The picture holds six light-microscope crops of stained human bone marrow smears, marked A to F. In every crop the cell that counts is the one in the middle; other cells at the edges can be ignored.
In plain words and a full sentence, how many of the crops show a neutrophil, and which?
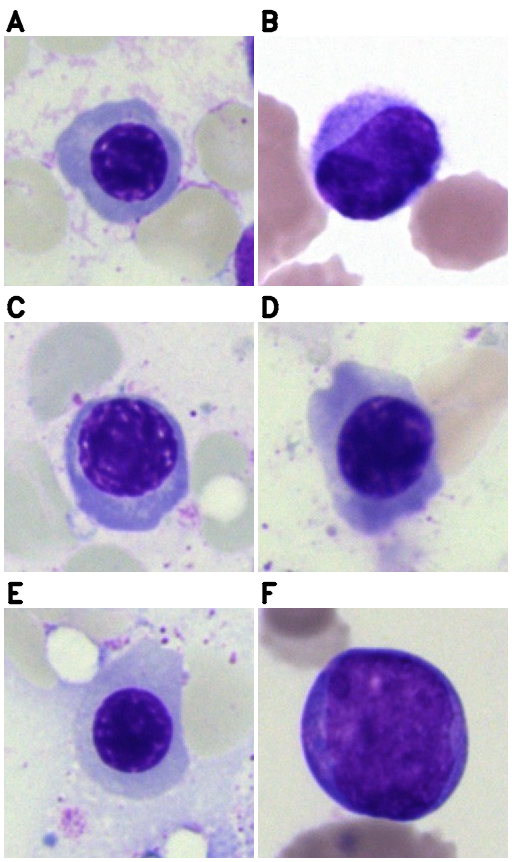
Not a single crop contains neutrophils, and the count is zero.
